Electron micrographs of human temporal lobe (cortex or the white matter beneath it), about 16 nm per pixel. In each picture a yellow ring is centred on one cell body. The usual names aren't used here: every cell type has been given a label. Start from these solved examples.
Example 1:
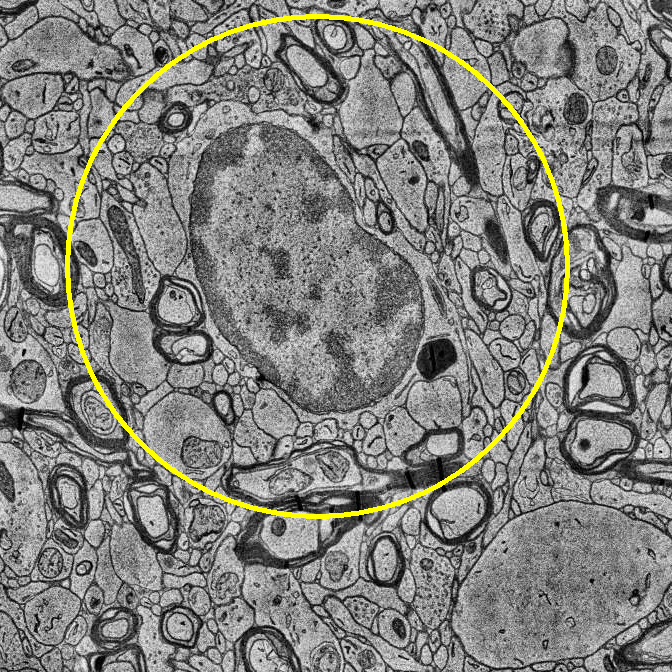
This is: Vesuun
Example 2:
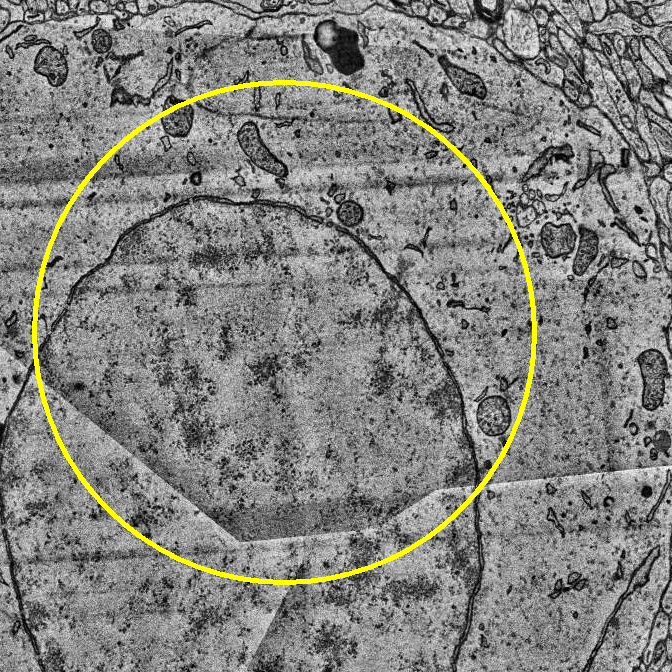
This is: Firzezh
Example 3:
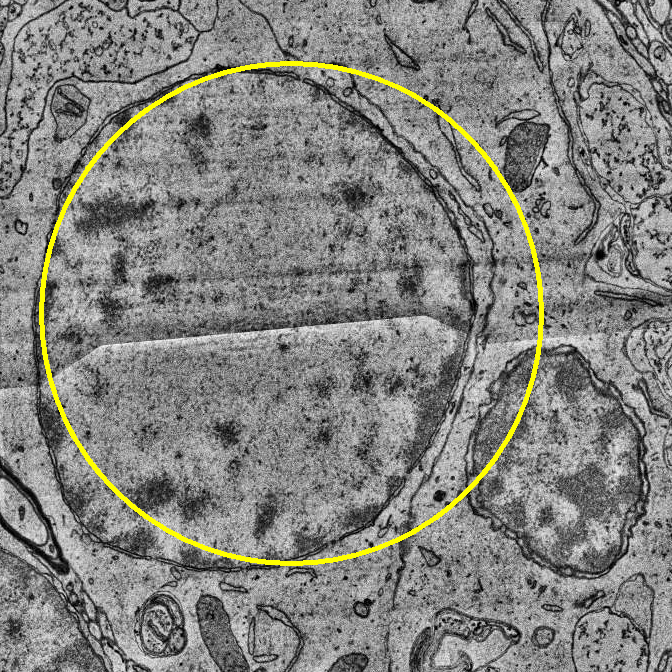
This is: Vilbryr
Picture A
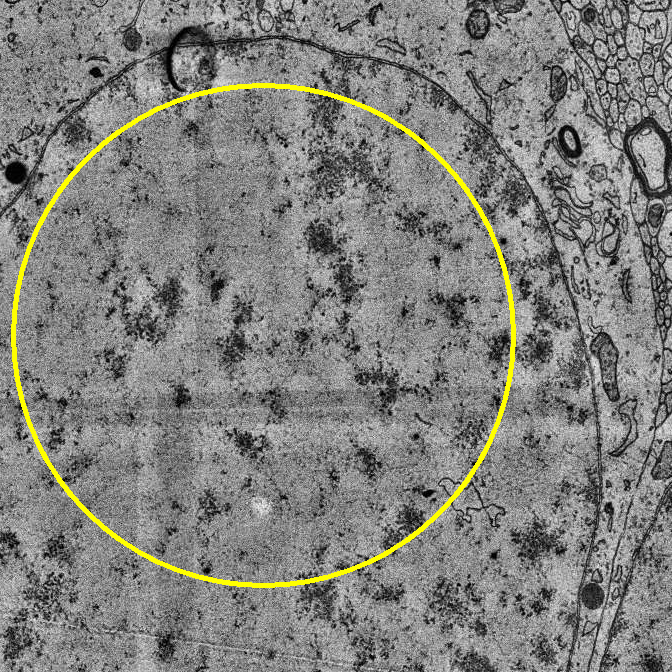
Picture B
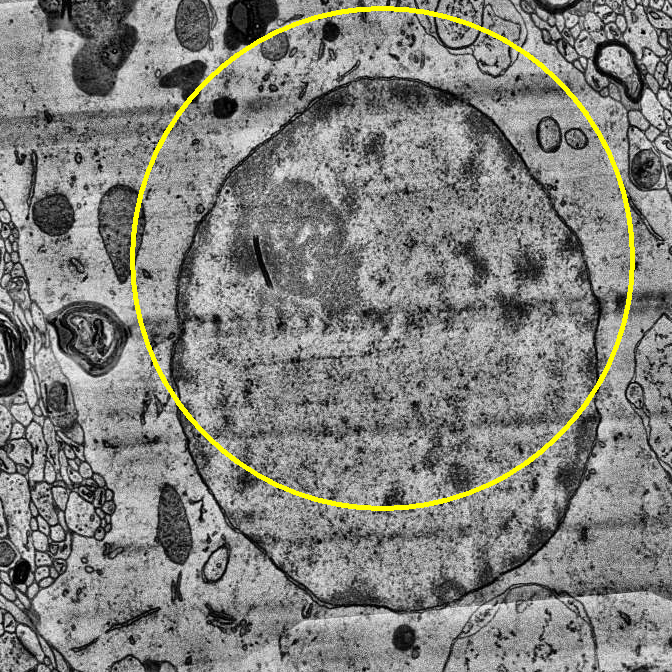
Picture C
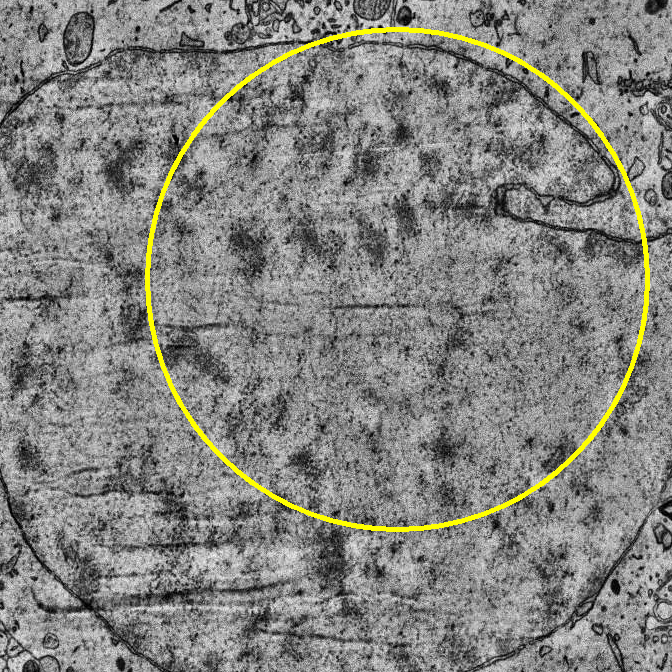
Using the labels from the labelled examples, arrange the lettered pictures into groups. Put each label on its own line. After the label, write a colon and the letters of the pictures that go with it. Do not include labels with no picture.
Firzezh: A, C
Vilbryr: B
